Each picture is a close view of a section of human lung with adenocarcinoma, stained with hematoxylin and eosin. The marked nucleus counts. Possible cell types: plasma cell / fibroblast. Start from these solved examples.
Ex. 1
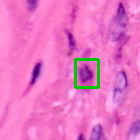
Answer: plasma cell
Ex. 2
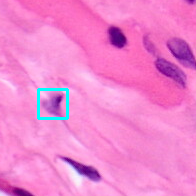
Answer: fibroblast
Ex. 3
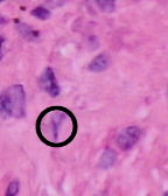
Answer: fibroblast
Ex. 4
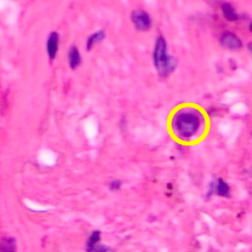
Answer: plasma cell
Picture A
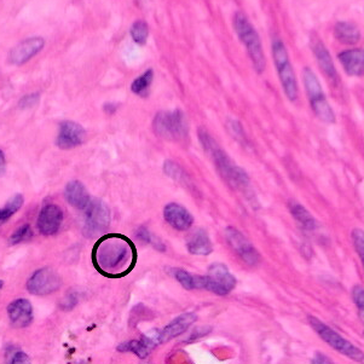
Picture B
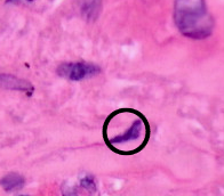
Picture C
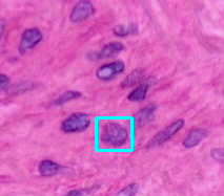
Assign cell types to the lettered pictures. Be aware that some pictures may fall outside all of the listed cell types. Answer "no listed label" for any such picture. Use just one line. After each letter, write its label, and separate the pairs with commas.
A plasma cell, B fibroblast, C no listed label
